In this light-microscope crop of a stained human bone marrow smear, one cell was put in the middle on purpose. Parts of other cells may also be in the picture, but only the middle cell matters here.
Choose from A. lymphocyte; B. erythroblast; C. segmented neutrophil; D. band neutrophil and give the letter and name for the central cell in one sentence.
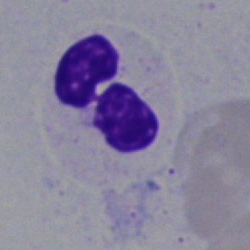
It is a segmented neutrophil that occupies the centre of the crop, so option C is correct.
